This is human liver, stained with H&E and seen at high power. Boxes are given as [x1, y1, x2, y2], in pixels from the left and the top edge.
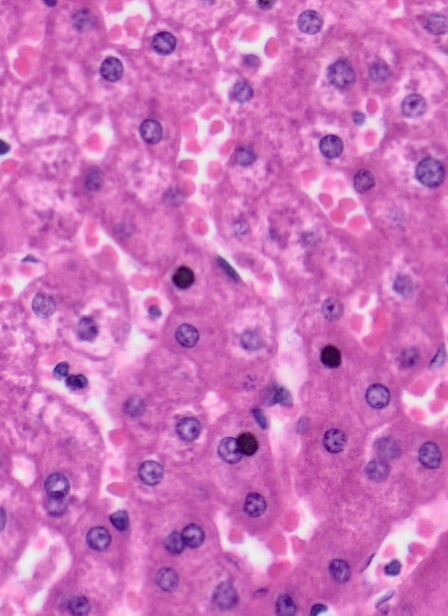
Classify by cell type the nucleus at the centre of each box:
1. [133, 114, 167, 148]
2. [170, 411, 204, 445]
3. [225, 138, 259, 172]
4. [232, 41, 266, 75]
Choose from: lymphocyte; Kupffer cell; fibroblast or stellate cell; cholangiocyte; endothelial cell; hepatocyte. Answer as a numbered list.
1. hepatocyte
2. hepatocyte
3. hepatocyte
4. Kupffer cell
